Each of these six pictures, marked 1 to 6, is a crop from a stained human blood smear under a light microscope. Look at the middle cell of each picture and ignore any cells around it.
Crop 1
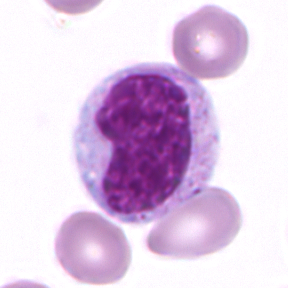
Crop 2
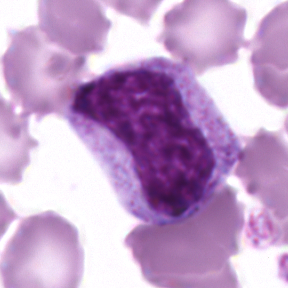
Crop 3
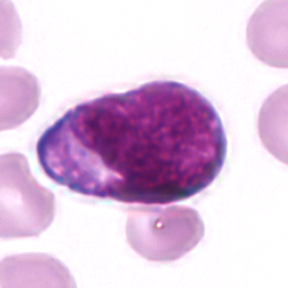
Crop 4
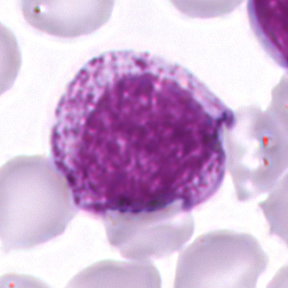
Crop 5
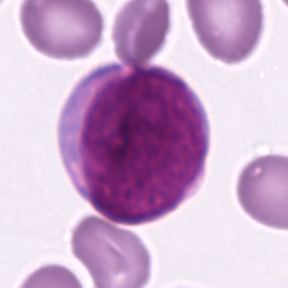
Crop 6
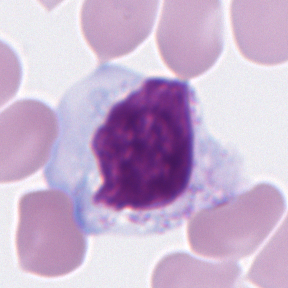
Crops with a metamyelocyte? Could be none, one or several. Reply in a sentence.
Placed at the centre of crops 1 and 2 are metamyelocytes.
